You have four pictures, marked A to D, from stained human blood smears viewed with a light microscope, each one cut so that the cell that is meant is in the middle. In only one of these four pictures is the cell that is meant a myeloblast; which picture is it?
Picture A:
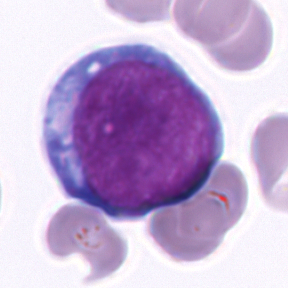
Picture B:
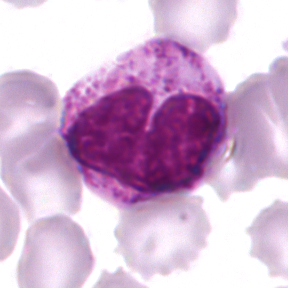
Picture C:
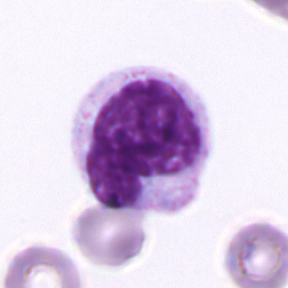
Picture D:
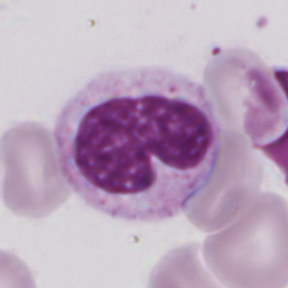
A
